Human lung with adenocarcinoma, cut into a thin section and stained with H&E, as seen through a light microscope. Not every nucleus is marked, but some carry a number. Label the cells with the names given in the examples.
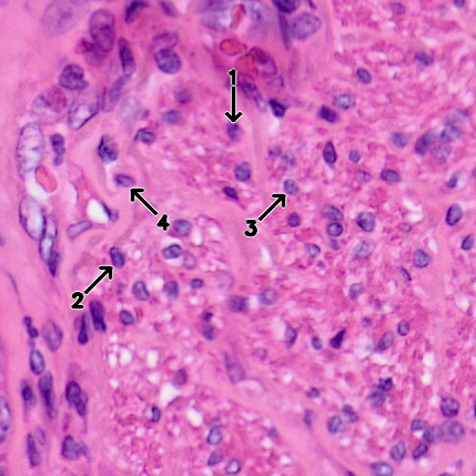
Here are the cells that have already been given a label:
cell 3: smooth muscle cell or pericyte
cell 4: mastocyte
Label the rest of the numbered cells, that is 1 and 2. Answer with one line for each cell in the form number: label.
1: smooth muscle cell or pericyte
2: smooth muscle cell or pericyte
